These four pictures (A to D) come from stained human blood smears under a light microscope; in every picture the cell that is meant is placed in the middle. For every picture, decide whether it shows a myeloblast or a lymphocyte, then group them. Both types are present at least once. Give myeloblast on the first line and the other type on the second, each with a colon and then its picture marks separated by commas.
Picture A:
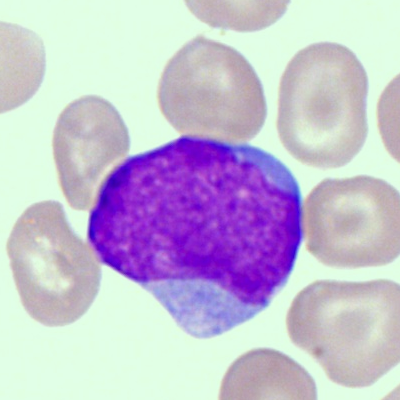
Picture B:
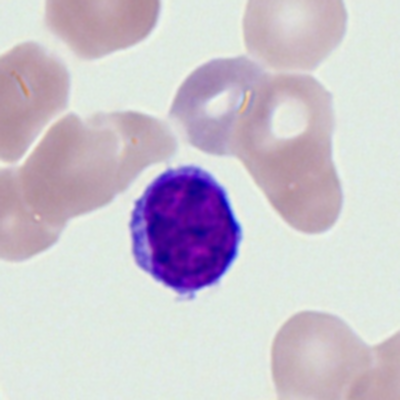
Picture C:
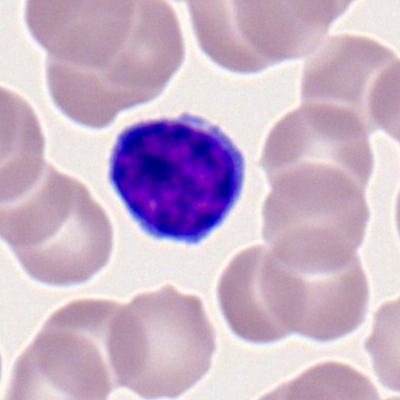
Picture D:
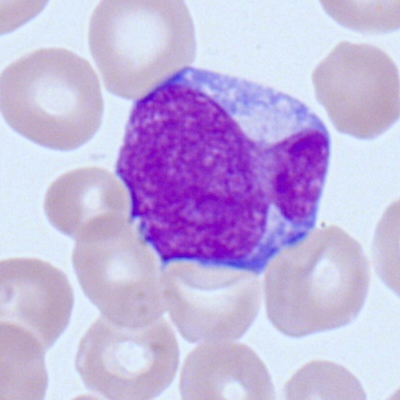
myeloblast: A, D
lymphocyte: B, C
